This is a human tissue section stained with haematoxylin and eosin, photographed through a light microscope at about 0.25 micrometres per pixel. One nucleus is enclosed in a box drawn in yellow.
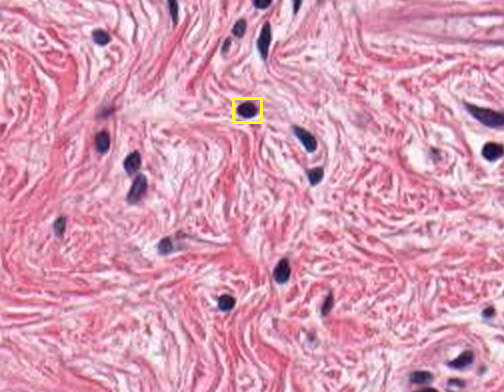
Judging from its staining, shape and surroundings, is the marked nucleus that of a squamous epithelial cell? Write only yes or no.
no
